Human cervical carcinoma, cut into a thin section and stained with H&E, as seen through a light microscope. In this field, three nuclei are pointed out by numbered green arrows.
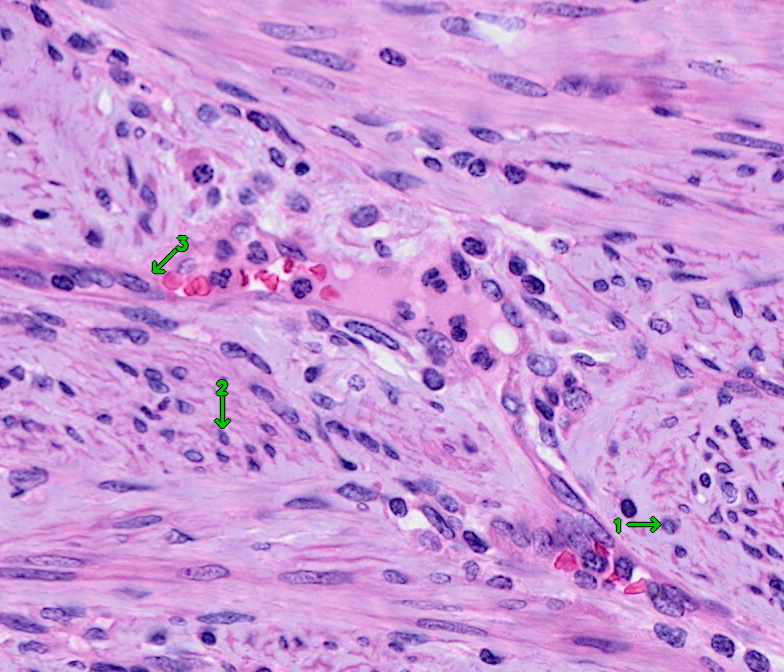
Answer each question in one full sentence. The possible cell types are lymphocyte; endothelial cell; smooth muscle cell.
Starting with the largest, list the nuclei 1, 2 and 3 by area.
From largest to smallest, the order is 3, 1, 2.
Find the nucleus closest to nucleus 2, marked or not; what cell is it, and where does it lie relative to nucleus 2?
A smooth muscle cell lies closest, below nucleus 2.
